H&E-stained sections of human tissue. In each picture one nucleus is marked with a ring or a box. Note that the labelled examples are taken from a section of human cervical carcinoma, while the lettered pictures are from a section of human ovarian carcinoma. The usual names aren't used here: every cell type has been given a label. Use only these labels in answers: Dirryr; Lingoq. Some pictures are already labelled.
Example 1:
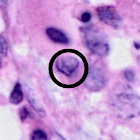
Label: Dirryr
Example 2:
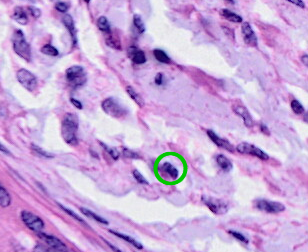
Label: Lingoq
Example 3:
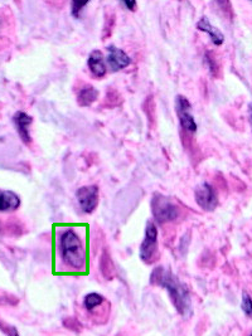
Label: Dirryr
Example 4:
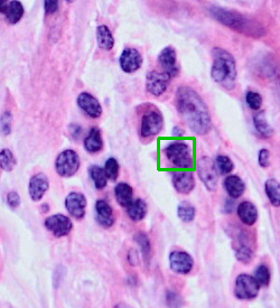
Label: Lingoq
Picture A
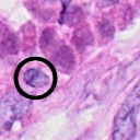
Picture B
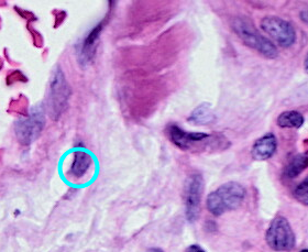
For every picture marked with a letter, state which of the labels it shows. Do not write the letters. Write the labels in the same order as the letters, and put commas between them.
Dirryr, Dirryr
